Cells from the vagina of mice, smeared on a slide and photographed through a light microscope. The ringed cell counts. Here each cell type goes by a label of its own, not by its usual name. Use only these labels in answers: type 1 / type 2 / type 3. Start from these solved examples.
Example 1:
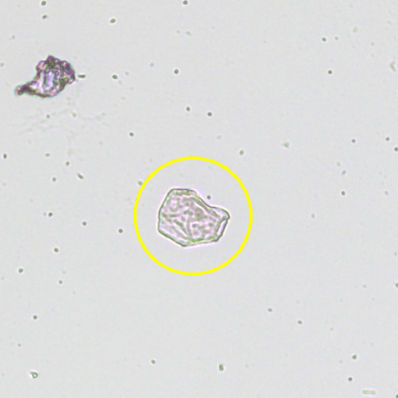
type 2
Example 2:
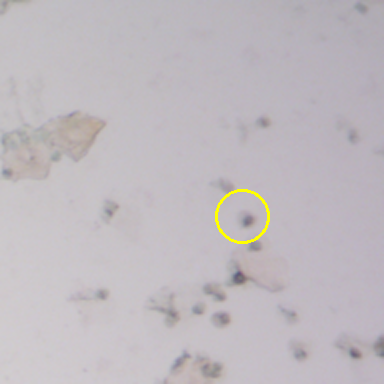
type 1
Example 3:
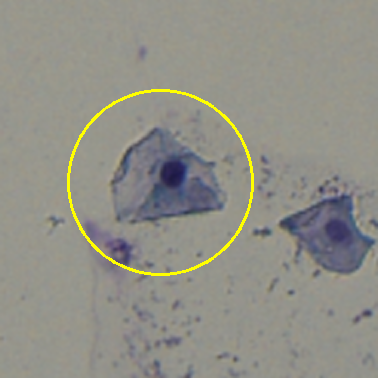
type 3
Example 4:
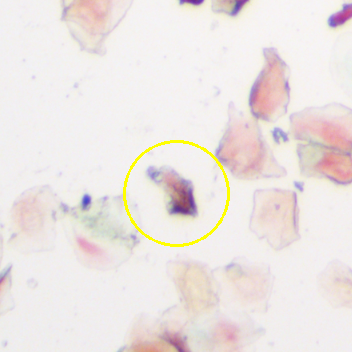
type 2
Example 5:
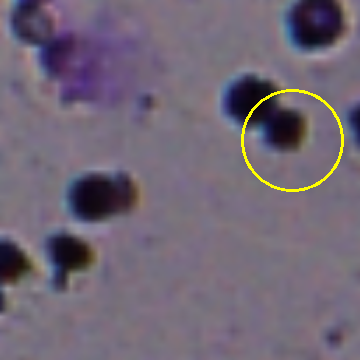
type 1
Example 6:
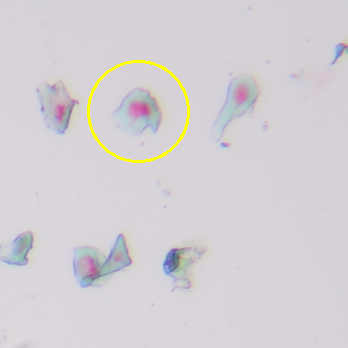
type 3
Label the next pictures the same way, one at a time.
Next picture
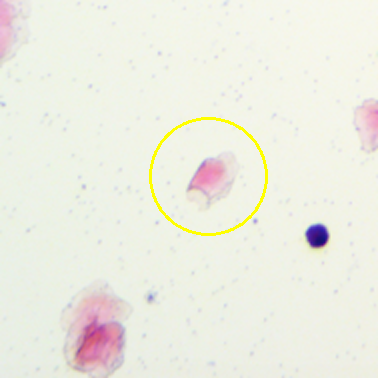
type 2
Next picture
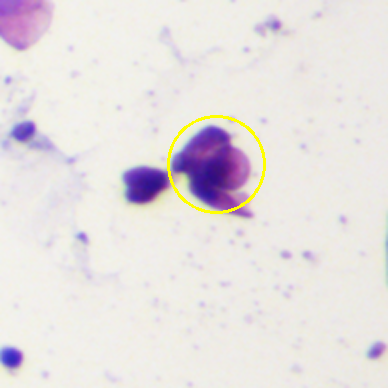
type 3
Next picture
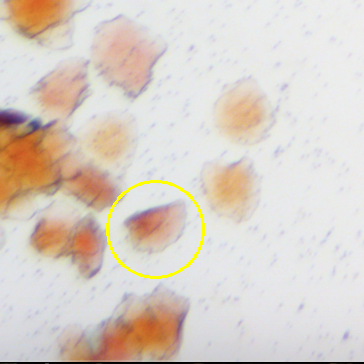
type 2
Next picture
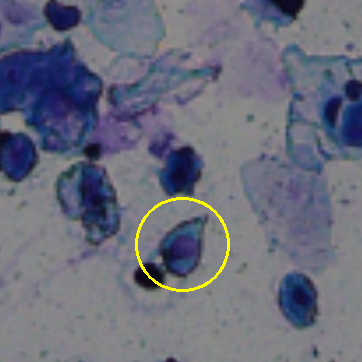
type 3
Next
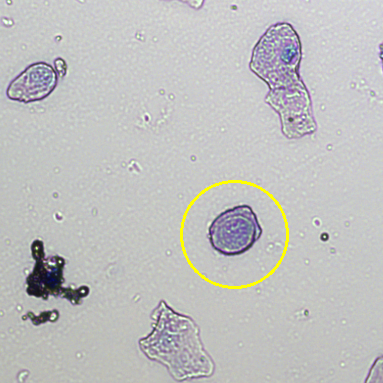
type 3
